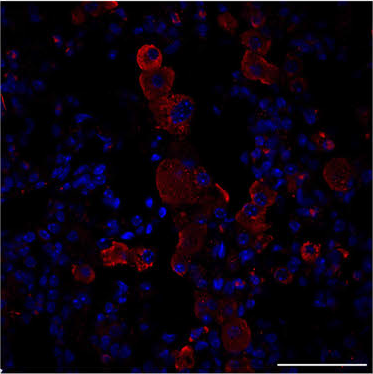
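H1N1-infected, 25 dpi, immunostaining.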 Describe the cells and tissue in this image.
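Lung tissue with densely packed small blue nuclei and a cluster of large, rounded cells whose cytoplasm is stained red. The red cells vary in size, several being markedly enlarged with abundant cytoplasm around one or more nuclei. They lie grouped together along open airspaces, while the surrounding small cells carry little or no red label.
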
